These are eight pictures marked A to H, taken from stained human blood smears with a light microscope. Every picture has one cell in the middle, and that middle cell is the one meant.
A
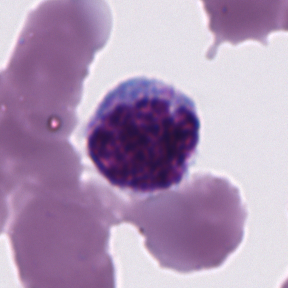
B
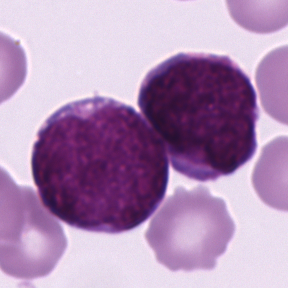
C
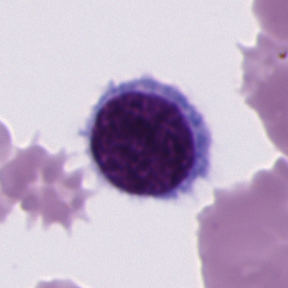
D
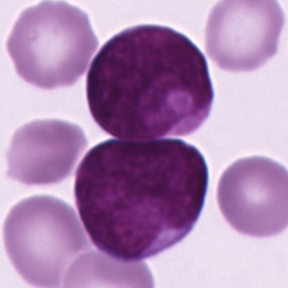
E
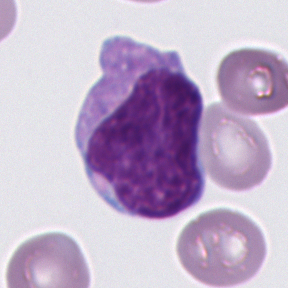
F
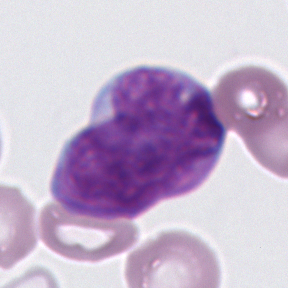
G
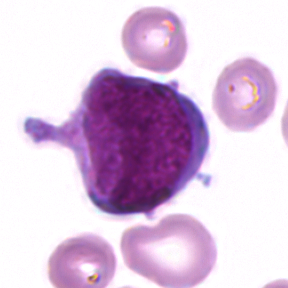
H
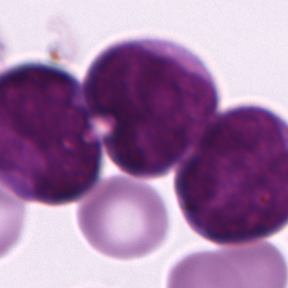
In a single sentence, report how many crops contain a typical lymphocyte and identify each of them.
On review, none of the crops shows typical lymphocytes, so the count is zero.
